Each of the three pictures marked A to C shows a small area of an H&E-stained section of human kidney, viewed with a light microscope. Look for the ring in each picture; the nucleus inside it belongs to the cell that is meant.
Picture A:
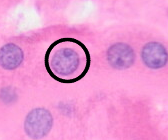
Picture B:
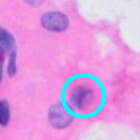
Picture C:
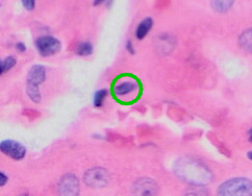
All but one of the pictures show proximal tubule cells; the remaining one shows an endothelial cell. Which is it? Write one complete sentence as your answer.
Picture C shows the endothelial cell.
